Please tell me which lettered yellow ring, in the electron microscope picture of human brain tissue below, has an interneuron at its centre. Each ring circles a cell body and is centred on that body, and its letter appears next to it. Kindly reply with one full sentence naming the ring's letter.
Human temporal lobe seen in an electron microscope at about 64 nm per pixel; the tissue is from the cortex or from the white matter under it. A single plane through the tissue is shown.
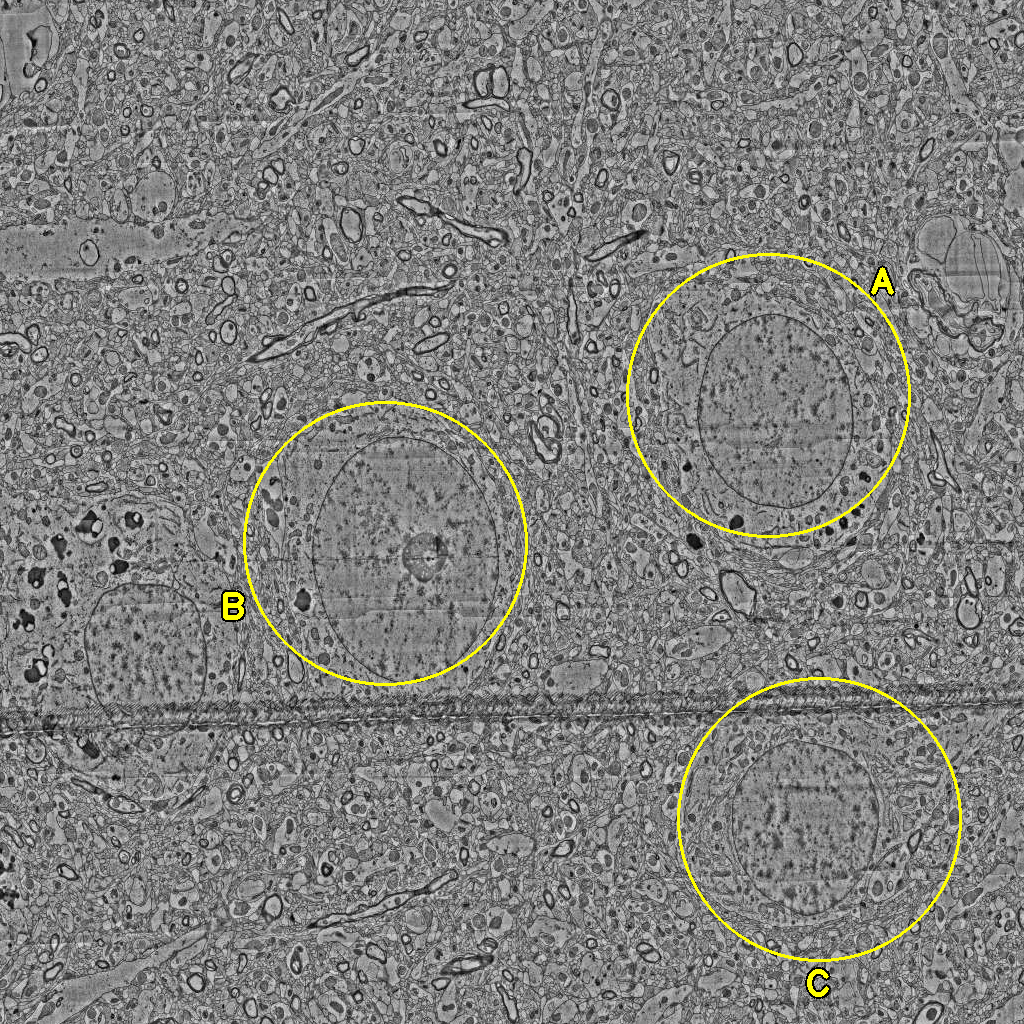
Ring C has the cell asked for at its centre.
